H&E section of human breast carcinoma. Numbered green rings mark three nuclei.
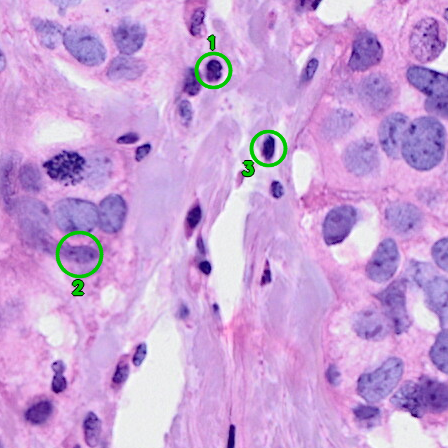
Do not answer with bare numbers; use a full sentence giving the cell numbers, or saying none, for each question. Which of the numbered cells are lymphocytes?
Cells 1 and 3 are lymphocytes by cell type.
